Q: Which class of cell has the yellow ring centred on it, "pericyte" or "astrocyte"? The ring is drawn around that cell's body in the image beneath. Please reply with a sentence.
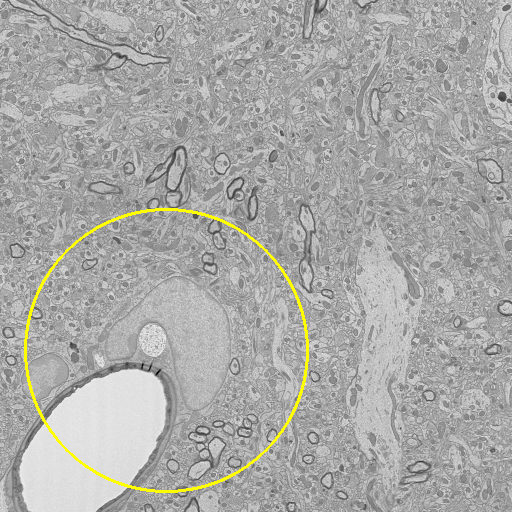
It is centred on an astrocyte.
